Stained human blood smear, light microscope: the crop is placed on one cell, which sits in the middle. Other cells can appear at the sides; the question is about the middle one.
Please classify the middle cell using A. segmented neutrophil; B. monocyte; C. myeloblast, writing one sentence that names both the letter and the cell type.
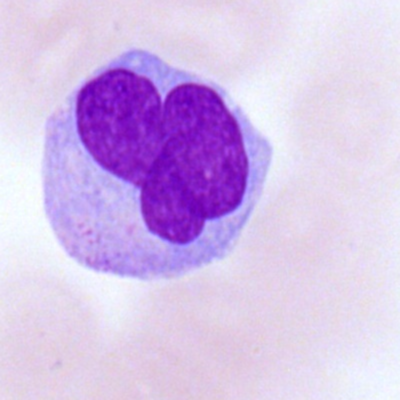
The cell at the centre, correctly named in option B, is a monocyte.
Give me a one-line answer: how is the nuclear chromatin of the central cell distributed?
The key point is fine chromatin with no coarse clumps.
